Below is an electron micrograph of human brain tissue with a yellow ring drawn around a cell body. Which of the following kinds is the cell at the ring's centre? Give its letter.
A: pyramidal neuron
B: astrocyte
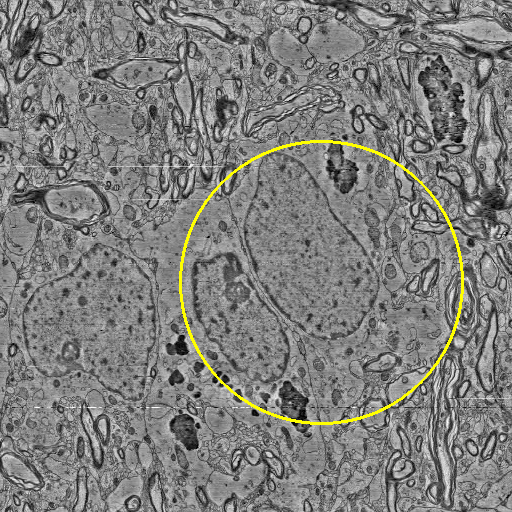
B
